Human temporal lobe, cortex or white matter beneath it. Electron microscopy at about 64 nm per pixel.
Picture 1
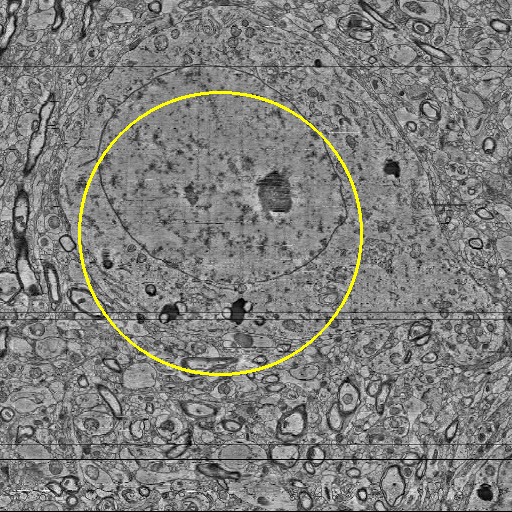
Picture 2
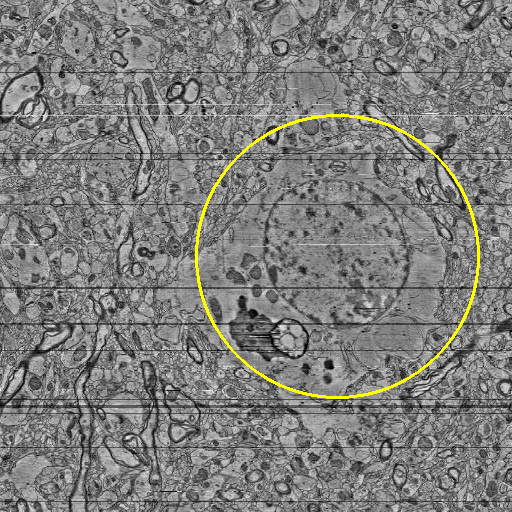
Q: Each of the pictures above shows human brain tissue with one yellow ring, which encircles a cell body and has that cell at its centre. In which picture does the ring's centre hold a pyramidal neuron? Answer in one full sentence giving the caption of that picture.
Picture 1 is the one whose ring is centred on the cell in question.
